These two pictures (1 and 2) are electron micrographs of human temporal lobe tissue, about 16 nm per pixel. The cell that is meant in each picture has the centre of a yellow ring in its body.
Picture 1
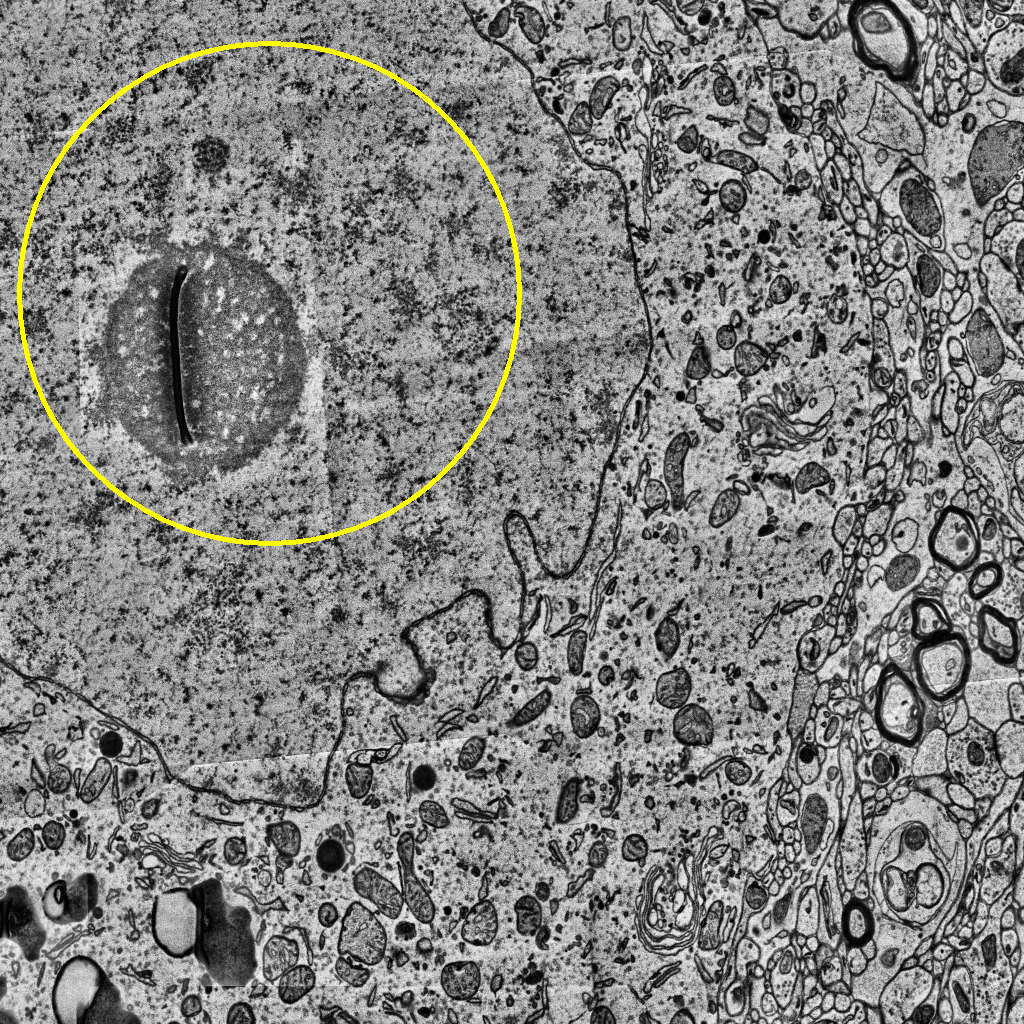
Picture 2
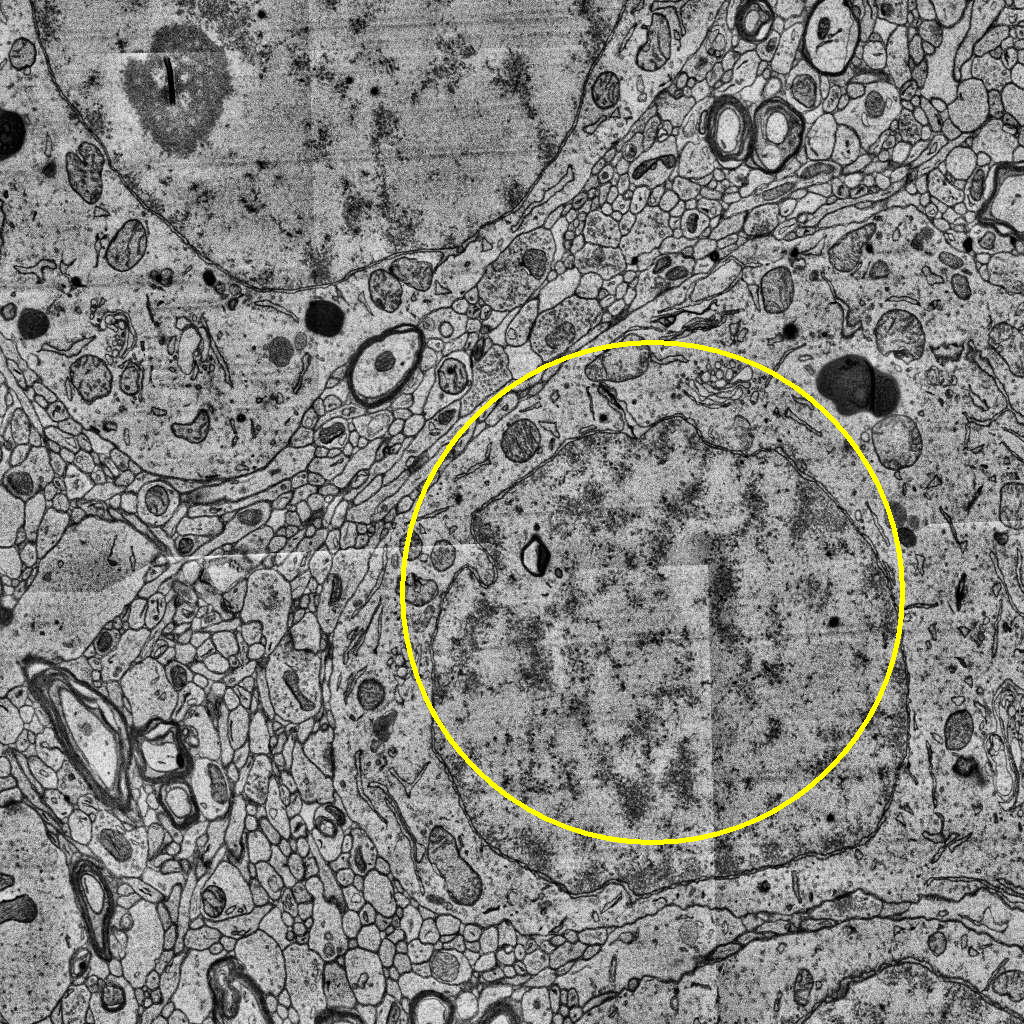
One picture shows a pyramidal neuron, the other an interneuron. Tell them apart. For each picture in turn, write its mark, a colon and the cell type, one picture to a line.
1: pyramidal neuron
2: interneuron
